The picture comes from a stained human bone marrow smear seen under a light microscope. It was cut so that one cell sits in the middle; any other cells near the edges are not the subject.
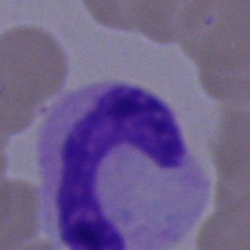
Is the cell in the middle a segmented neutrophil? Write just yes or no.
no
